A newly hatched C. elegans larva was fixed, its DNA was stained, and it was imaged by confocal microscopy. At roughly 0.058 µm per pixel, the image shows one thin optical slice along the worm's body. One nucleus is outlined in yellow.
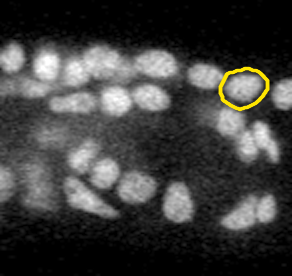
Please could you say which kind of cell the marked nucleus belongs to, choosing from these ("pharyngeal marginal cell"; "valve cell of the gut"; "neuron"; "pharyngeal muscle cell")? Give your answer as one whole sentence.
The marked nucleus is that of a neuron.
